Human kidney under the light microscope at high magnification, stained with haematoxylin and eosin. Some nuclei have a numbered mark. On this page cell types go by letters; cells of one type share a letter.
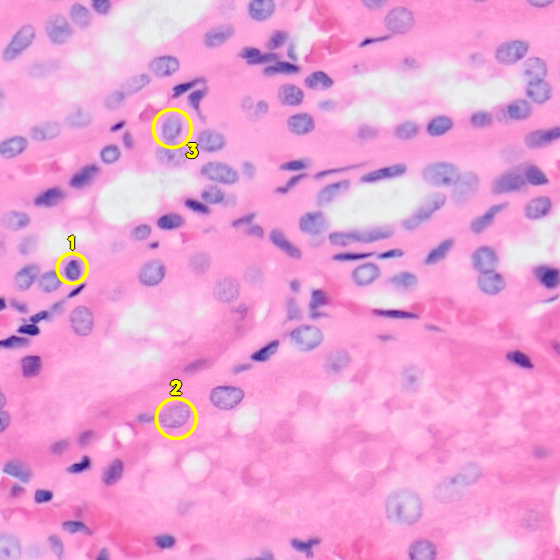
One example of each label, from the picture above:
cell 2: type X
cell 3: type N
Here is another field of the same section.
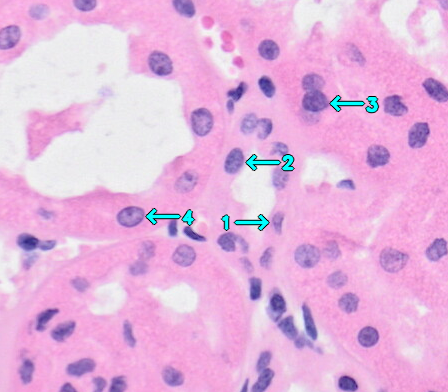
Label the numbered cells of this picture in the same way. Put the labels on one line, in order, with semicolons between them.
type N; type N; type X; type X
